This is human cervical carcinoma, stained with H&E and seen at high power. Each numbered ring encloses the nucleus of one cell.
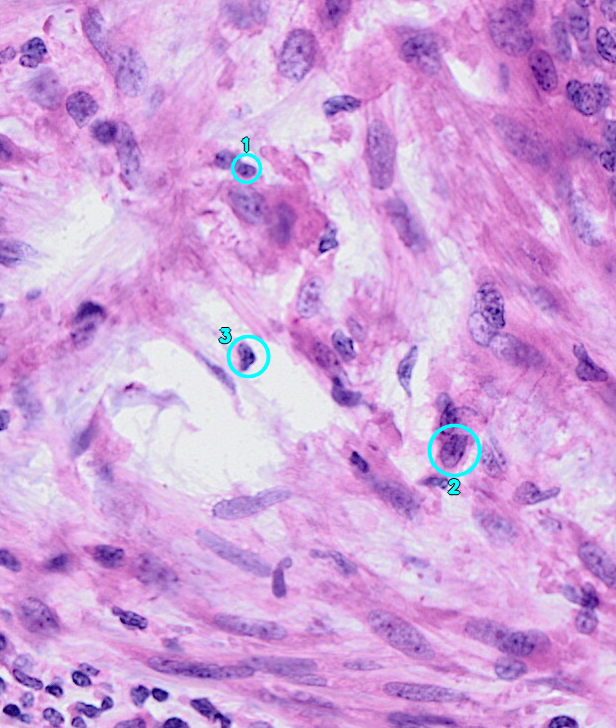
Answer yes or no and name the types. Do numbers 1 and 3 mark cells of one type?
Yes, cells 1 and 3 are lymphocytes, both of them.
